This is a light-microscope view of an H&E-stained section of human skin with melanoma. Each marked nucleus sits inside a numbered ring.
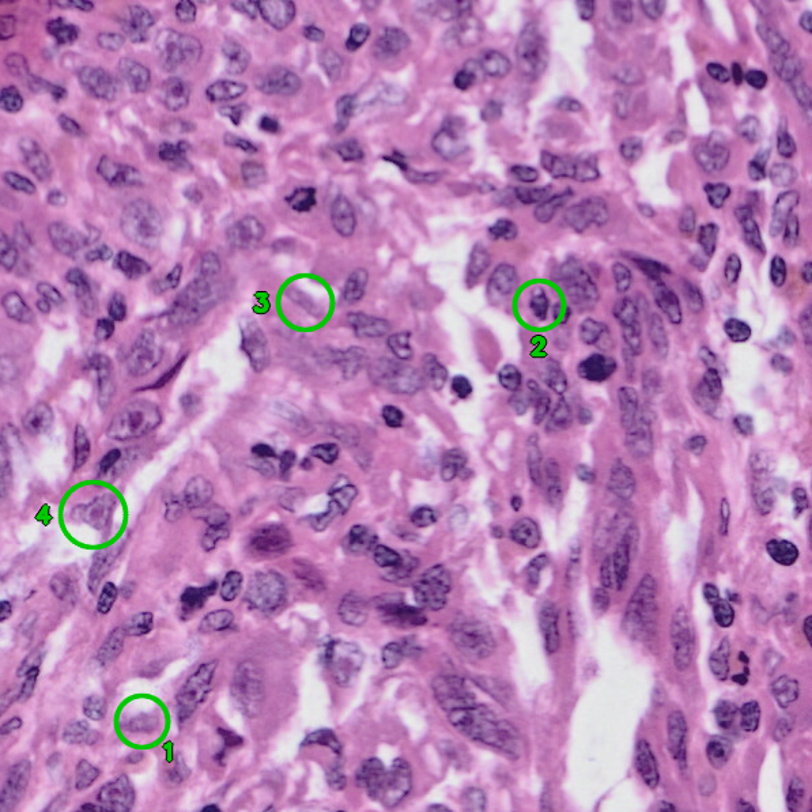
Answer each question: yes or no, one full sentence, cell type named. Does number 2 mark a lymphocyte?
Yes, that is so; number 2 marks a lymphocyte.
